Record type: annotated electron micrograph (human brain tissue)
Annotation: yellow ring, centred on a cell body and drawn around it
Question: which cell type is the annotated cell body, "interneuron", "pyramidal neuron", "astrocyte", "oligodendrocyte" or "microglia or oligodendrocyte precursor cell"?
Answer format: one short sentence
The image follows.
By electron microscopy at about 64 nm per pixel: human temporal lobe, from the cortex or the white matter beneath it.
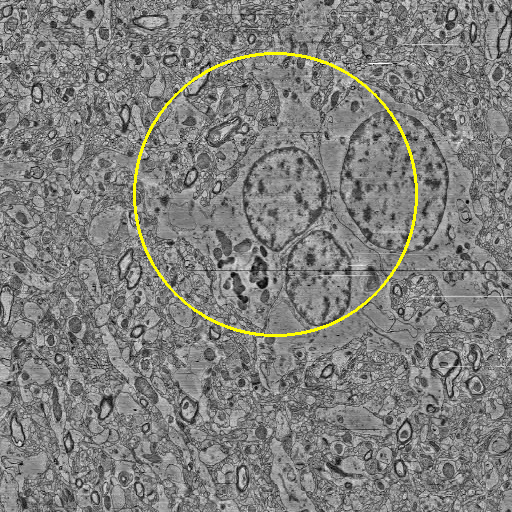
The annotated cell body is that of an astrocyte.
